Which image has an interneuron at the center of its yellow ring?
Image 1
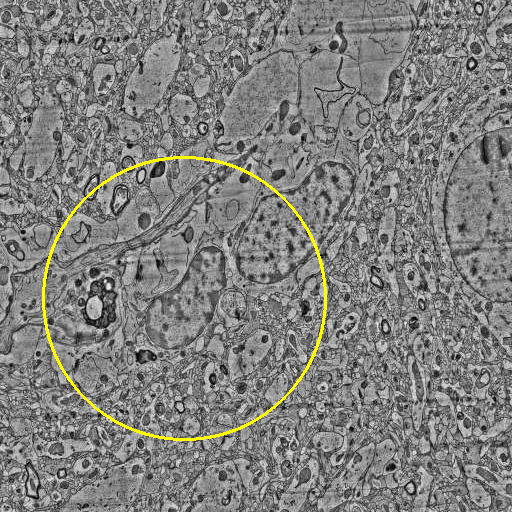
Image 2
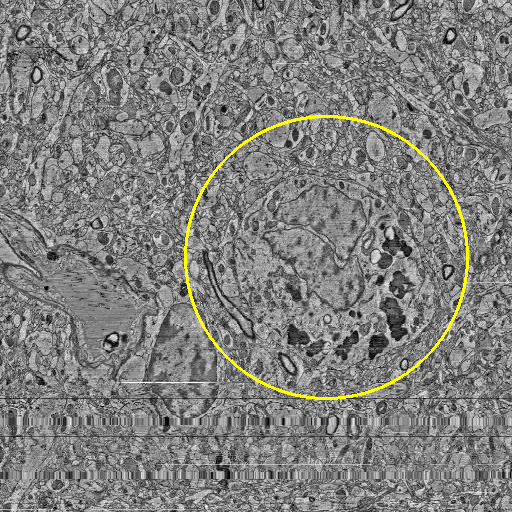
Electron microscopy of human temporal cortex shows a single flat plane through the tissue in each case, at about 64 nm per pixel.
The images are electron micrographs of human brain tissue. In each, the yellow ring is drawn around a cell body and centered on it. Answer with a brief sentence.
It is at the center of the ring in Image 2.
